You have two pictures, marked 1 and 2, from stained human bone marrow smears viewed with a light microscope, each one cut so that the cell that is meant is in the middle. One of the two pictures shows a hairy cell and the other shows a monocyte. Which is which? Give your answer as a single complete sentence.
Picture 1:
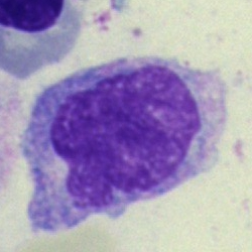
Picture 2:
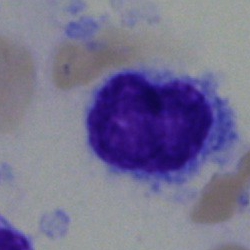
The cell in picture 1 is a monocyte, and the one in picture 2 is a hairy cell.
